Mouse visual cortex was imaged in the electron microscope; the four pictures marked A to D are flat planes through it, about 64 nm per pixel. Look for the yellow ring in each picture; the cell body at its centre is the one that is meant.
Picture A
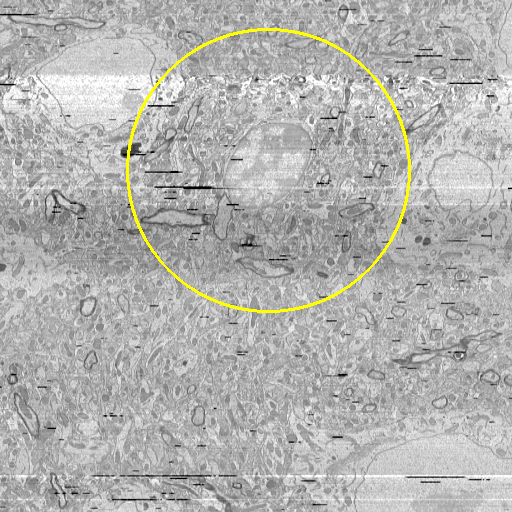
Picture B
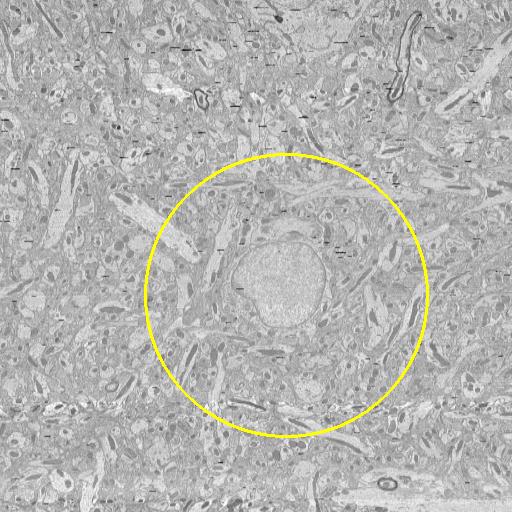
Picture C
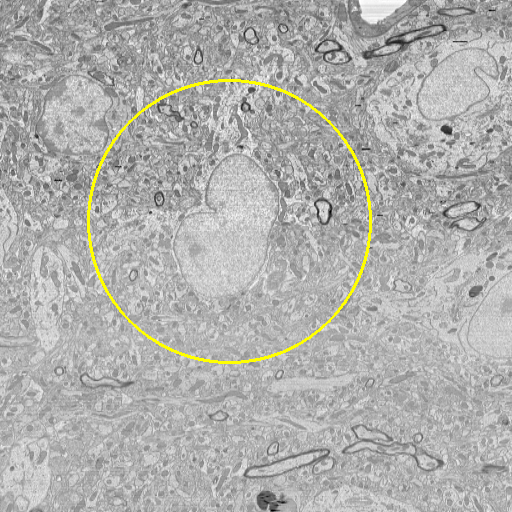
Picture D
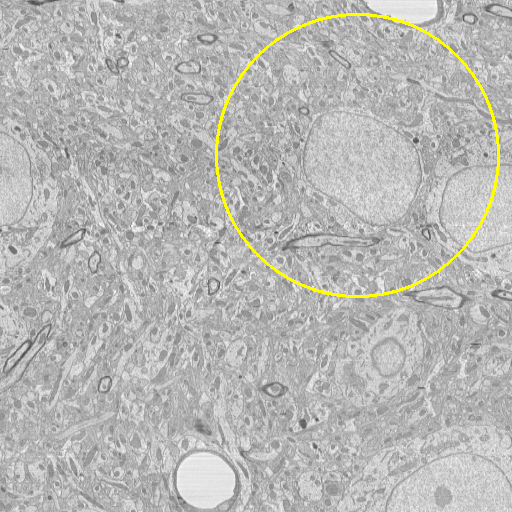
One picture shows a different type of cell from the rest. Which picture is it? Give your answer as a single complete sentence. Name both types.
Unlike the rest, which show astrocytes, picture A shows an oligodendrocyte.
